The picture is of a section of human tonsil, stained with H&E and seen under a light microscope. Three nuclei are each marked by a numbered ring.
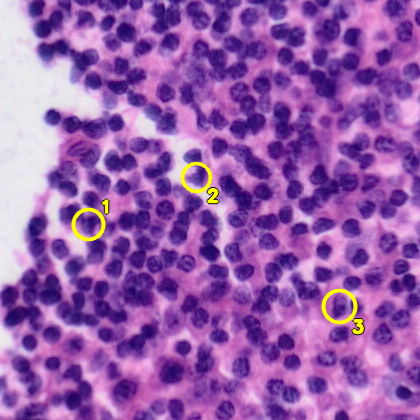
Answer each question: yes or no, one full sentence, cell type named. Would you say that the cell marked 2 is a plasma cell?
No, cell 2 is not a plasma cell. It is a small lymphocyte.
